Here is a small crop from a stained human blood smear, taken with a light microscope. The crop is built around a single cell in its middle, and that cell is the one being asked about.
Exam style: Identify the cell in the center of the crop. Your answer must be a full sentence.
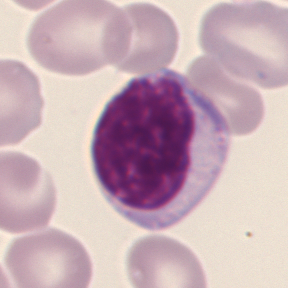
Present in the middle of the crop is a large granular lymphocyte.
